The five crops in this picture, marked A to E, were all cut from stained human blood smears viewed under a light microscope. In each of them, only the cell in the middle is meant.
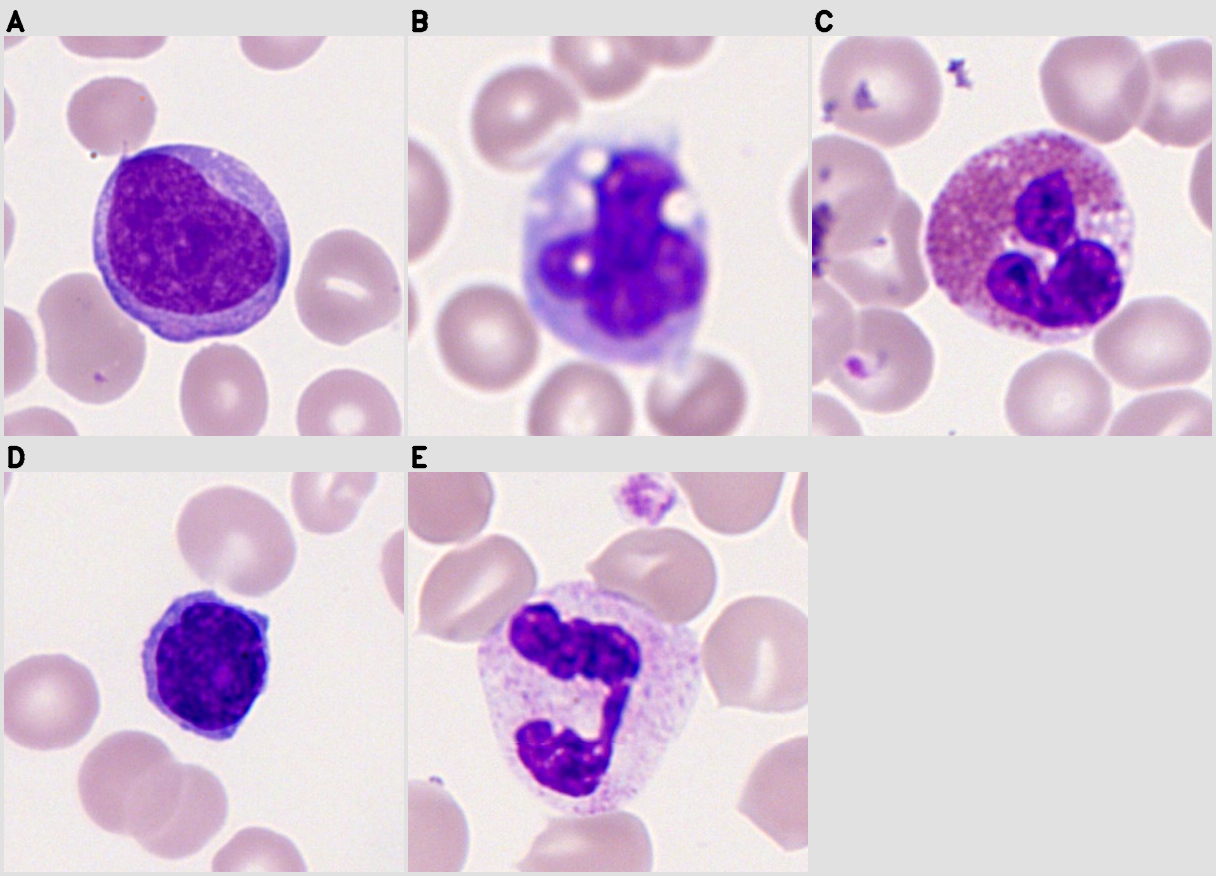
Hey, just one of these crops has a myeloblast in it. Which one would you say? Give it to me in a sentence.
The correct choice is crop A, the one showing a myeloblast.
